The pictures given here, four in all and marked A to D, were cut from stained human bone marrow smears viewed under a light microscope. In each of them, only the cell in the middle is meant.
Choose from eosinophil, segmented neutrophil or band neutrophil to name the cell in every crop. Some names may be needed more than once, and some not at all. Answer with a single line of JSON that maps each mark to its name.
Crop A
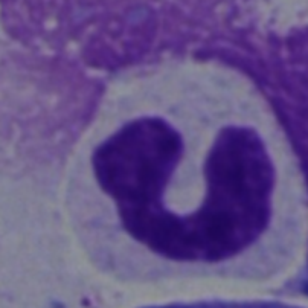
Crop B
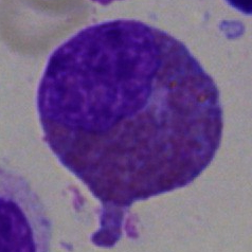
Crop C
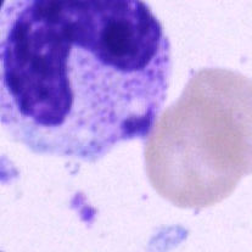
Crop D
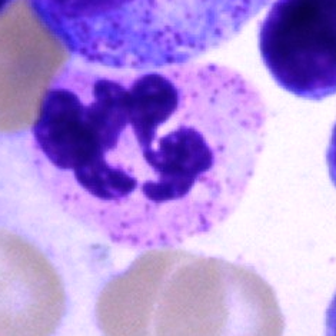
{"A": "segmented neutrophil", "B": "eosinophil", "C": "band neutrophil", "D": "segmented neutrophil"}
